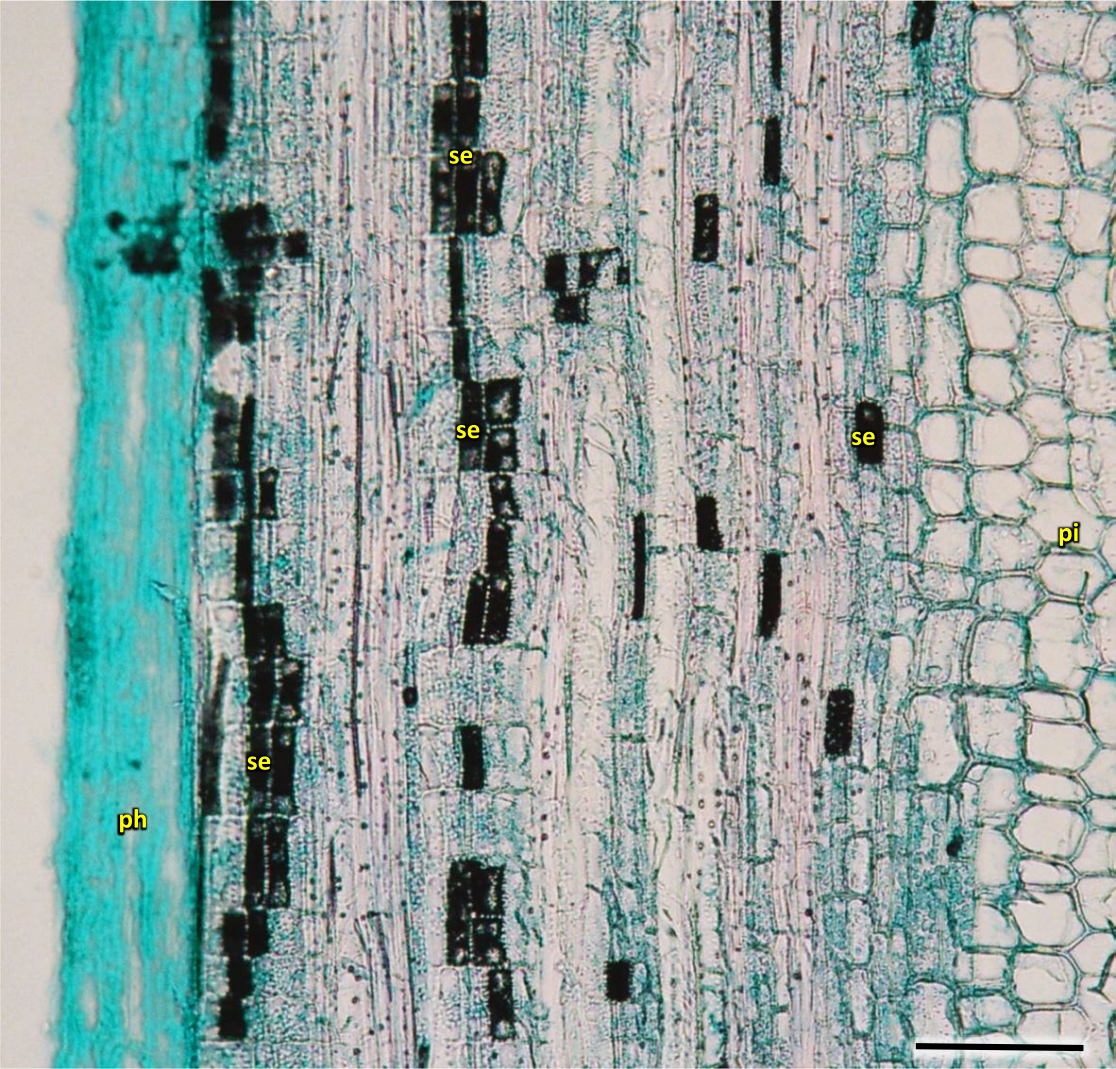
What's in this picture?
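This longitudinal section of a woody stem runs from a band of bark tissue on the left to pith on the right. At the left edge is a broad band of densely blue-green stained, finely fibrous tissue. In the middle is a wide zone of elongated, axially aligned cells with thin walls and dotted lateral walls. Rows of short, rectangular parenchyma cells run through this zone, and many of them are filled with opaque black contents. These dark-filled cells occur singly or in short stacks and small clusters. On the right lies the pith, made of large, rounded to polygonal, thin-walled parenchyma cells with clear lumens and green-outlined walls.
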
